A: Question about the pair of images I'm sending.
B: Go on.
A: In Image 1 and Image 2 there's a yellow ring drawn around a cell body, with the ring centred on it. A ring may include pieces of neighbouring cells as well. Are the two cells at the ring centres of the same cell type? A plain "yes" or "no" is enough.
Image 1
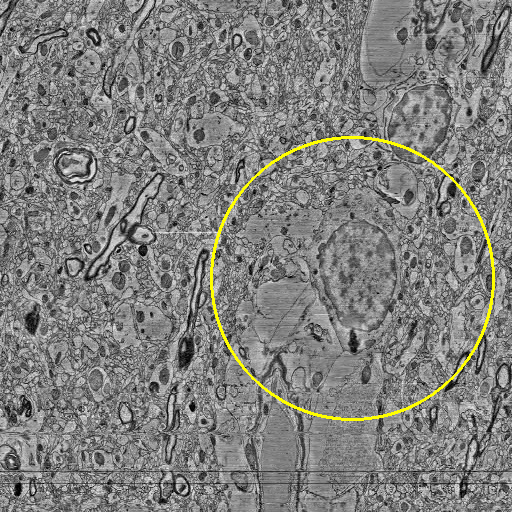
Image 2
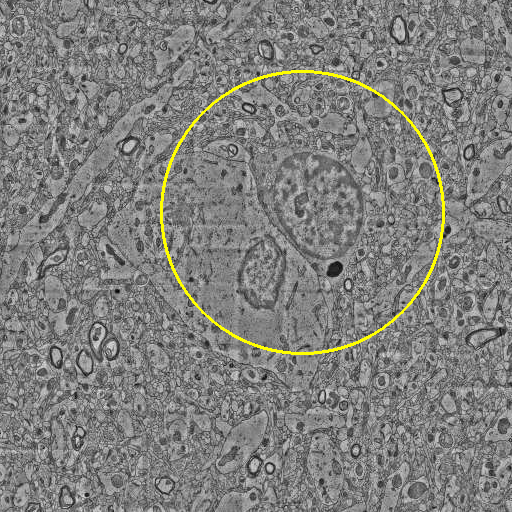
yes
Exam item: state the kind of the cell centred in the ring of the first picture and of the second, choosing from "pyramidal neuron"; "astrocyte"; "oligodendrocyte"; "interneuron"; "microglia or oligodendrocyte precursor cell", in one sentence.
The ring centre holds an oligodendrocyte in each of the two pictures.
